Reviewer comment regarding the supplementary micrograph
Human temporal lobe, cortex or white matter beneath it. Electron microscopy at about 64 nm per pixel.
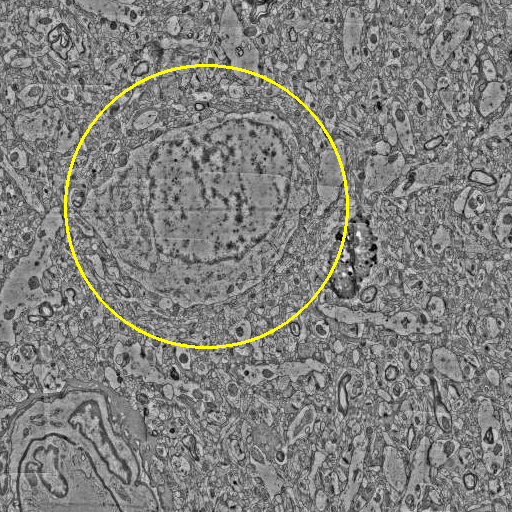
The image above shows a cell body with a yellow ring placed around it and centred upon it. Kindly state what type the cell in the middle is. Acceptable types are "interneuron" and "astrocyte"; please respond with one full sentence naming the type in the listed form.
In the image above, the cell on which the yellow ring is centred is an interneuron.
